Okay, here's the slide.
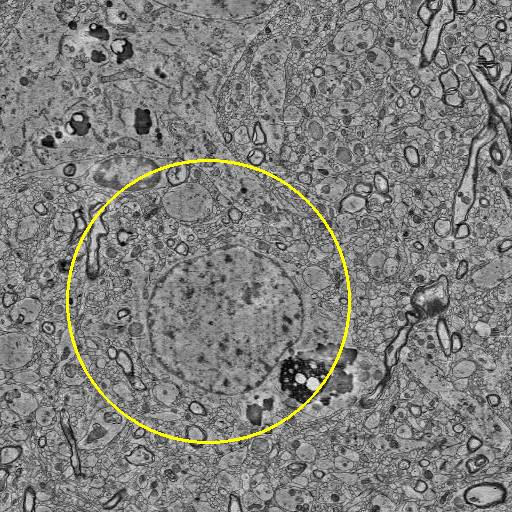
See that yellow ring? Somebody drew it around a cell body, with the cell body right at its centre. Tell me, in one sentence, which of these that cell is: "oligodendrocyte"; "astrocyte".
The cell in the middle of the ring is an astrocyte.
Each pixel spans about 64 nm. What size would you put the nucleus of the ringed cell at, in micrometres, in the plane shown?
In this plane the nucleus measures roughly 10 micrometres across.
